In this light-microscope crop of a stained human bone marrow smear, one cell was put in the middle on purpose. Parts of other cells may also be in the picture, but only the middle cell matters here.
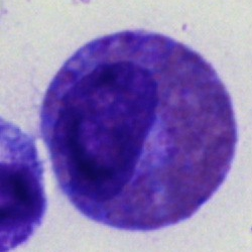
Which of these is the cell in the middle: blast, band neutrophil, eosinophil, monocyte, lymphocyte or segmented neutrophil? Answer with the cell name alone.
eosinophil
